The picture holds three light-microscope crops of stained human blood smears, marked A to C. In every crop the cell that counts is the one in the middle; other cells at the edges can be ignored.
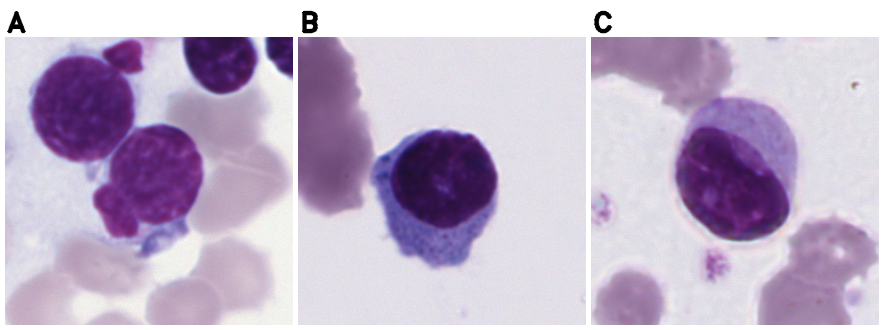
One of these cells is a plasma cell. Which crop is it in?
C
